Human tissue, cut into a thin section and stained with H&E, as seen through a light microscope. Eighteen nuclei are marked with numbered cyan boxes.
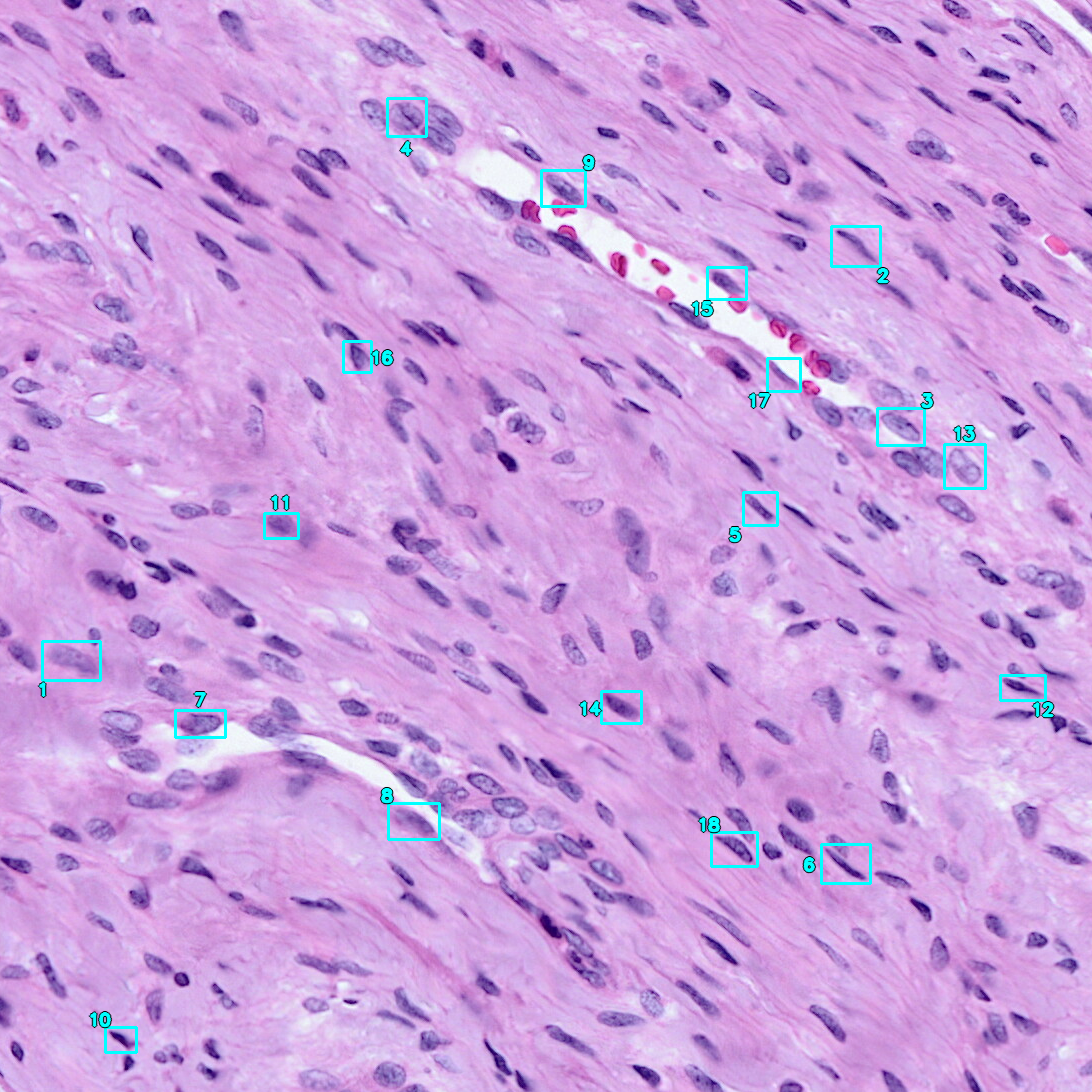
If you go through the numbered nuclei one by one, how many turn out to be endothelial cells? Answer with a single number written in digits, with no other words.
8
